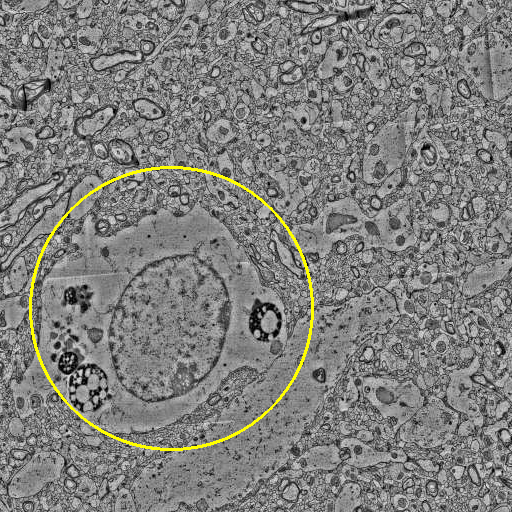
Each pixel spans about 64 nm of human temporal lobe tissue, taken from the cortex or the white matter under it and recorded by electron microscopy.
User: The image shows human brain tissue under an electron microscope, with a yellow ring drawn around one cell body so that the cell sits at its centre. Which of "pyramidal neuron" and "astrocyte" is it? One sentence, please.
At the centre of the ring sits an astrocyte.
